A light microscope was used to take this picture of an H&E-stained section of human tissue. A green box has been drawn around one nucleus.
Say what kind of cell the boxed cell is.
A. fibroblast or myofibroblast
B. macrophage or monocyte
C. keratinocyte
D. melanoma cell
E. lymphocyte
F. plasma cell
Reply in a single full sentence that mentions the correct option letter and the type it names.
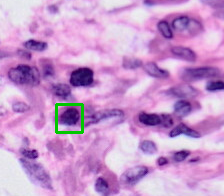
The right option is F, the boxed cell being a plasma cell.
